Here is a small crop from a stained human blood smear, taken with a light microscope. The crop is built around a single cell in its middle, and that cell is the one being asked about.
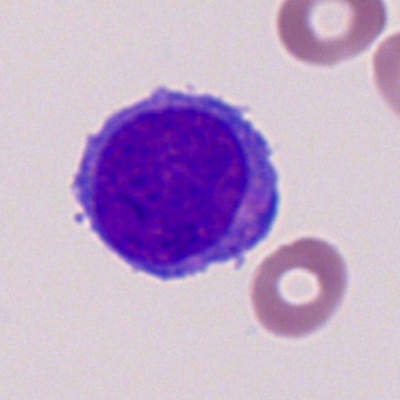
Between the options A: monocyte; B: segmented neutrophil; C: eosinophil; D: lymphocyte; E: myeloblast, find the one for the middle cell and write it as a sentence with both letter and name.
The middle of the crop holds a myeloblast, which points to option E.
